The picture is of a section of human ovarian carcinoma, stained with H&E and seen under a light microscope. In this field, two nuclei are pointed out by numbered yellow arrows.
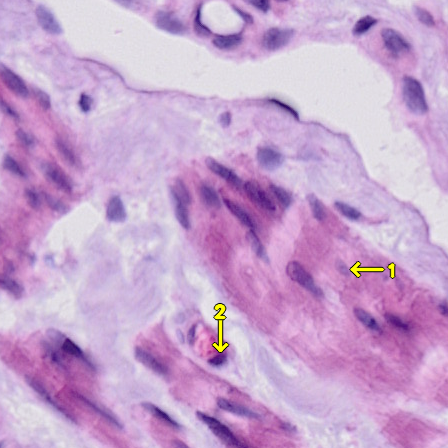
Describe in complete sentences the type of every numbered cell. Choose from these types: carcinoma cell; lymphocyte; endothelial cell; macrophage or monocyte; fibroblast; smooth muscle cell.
Cell 1 is a smooth muscle cell and cell 2 is an endothelial cell.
